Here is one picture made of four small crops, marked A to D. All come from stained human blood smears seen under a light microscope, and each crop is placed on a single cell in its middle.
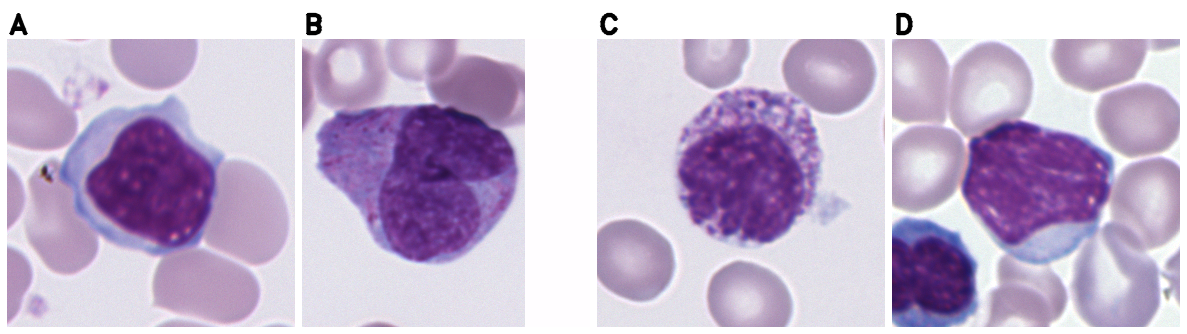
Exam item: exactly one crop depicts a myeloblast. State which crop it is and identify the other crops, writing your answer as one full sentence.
The cell of interest in crop D is a myeloblast, while crop A is a lymphocyte, crop B is an atypical promyelocyte and crop C is a basophil.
